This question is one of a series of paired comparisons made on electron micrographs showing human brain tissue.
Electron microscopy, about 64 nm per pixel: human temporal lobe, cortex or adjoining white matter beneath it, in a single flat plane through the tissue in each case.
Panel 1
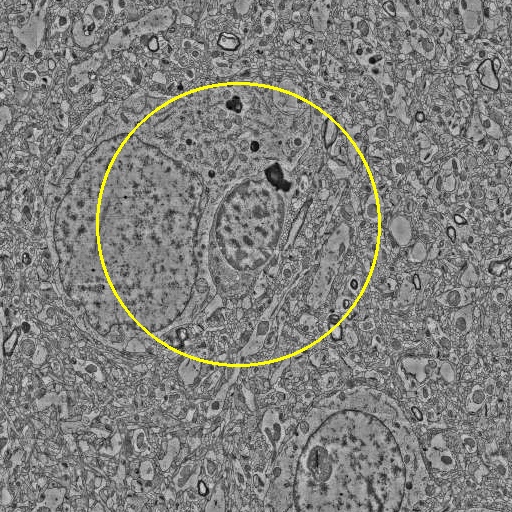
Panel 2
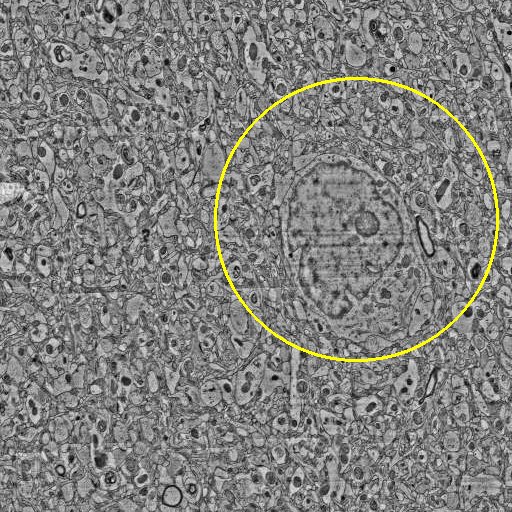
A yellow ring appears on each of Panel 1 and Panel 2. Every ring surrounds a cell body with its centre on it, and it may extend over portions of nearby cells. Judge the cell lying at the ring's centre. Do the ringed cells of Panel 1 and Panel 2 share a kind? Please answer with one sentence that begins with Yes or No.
No, the ring-centre cell in Panel 1 and the one in Panel 2 are of two kinds.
